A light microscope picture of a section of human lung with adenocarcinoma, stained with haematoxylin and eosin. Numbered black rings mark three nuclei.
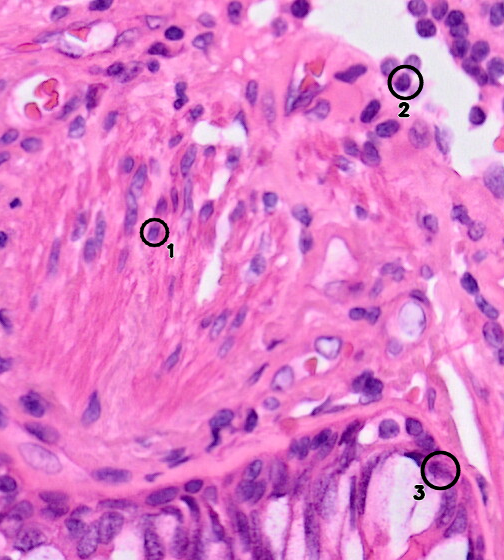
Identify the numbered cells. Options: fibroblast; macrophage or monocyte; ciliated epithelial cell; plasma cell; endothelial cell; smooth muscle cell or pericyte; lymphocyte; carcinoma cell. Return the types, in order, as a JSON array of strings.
["smooth muscle cell or pericyte", "lymphocyte", "ciliated epithelial cell"]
